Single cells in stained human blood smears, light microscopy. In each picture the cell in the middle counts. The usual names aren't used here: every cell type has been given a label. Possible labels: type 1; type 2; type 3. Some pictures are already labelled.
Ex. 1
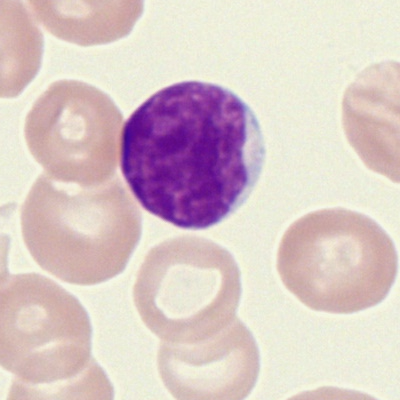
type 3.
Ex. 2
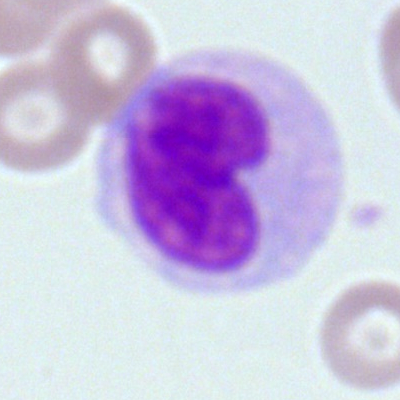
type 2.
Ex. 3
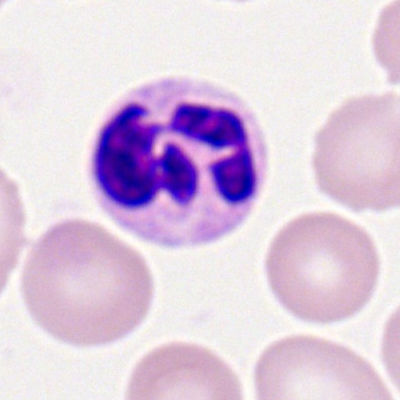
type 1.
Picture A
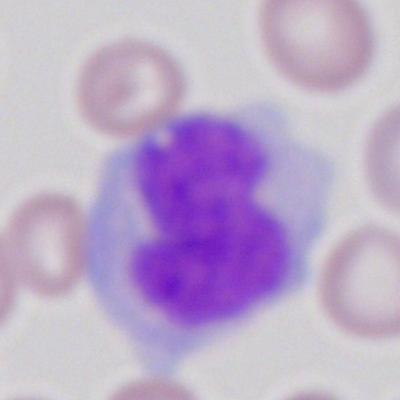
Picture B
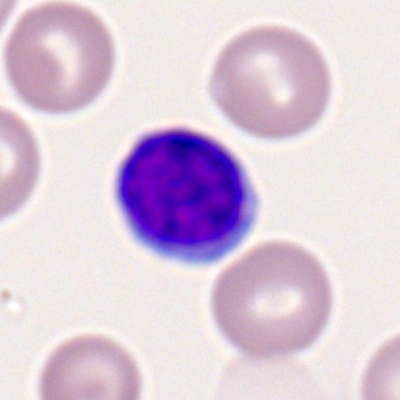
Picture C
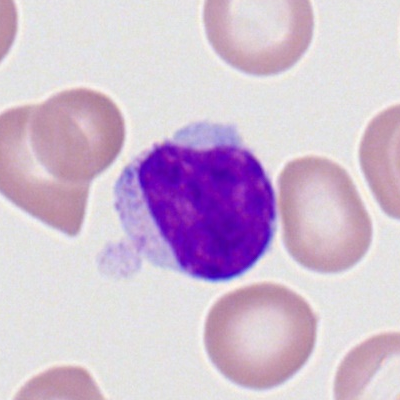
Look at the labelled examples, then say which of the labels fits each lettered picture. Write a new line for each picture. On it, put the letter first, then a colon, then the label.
A: type 2.
B: type 3.
C: type 3.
